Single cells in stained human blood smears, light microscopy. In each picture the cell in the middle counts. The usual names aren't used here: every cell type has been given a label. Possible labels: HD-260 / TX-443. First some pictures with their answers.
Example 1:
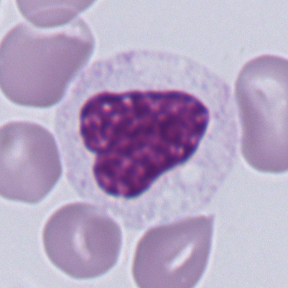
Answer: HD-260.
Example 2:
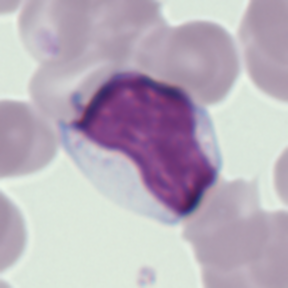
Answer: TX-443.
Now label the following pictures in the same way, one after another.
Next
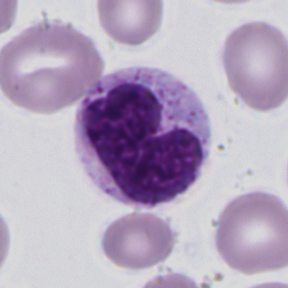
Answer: HD-260.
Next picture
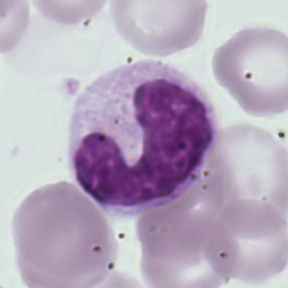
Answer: HD-260.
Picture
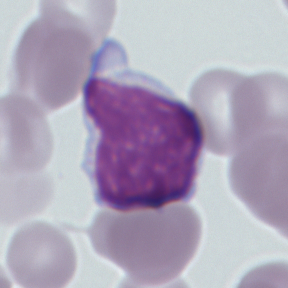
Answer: TX-443.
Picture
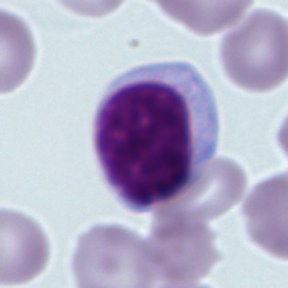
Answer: TX-443.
